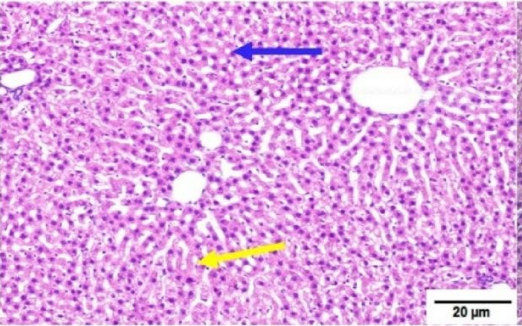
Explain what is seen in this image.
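Liver parenchyma with plates of hepatocytes separated by pale sinusoids, with several vessel lumens. Hepatocytes are polygonal with pale pink cytoplasm and round purple central nuclei. Sinusoids appear as thin clear clefts between the cell cords.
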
